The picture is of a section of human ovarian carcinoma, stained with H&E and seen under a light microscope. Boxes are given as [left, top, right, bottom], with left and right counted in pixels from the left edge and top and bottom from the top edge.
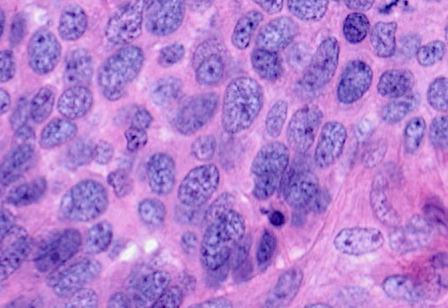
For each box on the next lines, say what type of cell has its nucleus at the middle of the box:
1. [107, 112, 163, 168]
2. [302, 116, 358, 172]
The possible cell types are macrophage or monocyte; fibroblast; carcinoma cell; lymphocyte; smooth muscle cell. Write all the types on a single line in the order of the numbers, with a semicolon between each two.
macrophage or monocyte; carcinoma cell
